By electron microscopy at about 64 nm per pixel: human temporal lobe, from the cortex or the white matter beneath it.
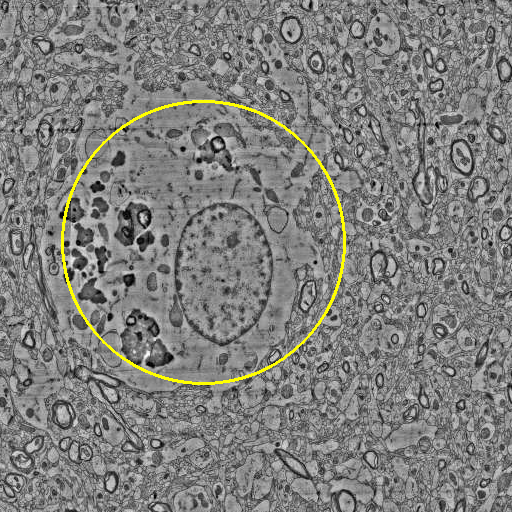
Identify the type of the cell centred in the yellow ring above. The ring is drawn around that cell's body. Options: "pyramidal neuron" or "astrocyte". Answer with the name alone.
astrocyte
